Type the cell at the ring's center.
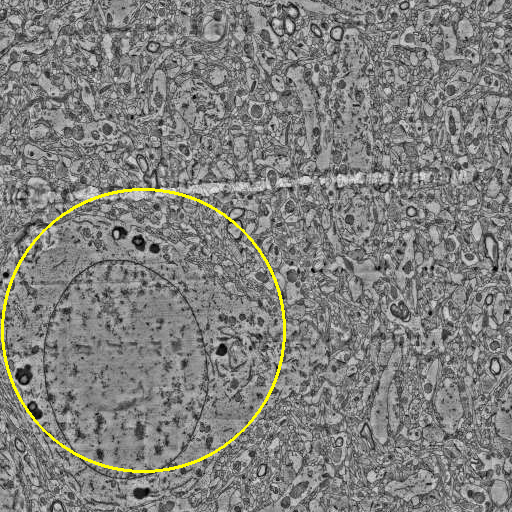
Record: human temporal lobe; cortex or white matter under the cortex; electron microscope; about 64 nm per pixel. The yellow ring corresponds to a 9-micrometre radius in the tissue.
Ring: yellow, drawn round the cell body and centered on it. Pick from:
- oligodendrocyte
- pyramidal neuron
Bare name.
pyramidal neuron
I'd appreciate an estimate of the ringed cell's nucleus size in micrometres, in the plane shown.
About 14 by 11 micrometers, in this plane.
